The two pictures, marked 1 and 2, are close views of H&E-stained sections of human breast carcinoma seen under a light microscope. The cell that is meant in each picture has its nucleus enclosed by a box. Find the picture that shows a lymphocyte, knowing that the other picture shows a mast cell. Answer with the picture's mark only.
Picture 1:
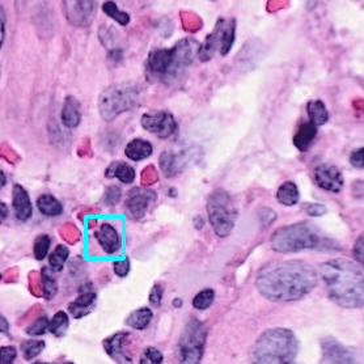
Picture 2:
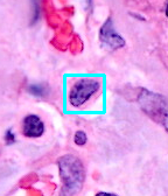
1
